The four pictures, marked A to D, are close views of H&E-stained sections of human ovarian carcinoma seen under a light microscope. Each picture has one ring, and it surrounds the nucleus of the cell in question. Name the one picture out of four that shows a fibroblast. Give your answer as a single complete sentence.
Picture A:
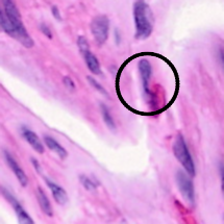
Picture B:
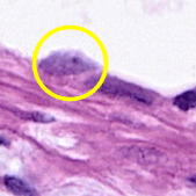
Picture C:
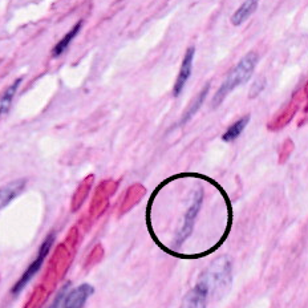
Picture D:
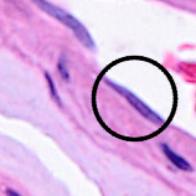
Picture C shows the fibroblast.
